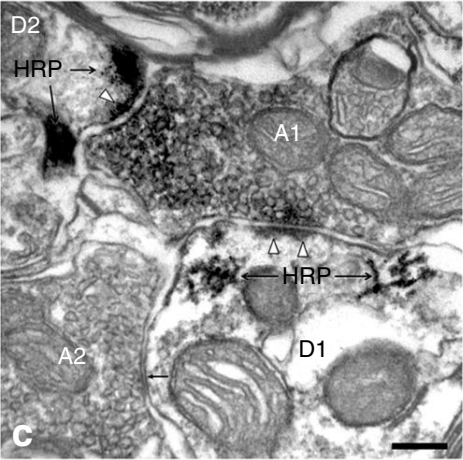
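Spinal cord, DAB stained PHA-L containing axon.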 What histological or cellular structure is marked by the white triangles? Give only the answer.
Asymmetric synapses.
